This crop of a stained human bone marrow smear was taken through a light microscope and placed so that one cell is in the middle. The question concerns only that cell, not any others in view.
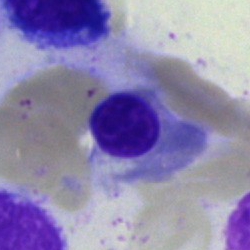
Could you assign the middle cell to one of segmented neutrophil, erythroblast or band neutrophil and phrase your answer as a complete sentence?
In this crop, the cell at the very middle is an erythroblast.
